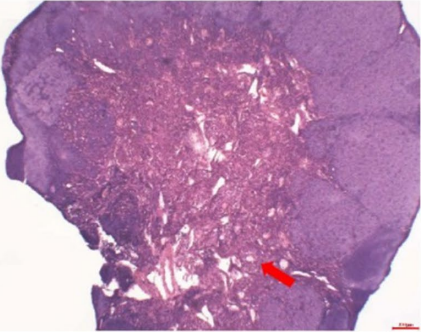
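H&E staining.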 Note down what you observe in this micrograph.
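This is a low-power section through an ovary stained pink and purple. The centre is taken up by a large area of loose, fibrous-looking pink tissue broken by many irregular pale clefts. Only a few rounded purple bodies remain, pushed to the edges of the section. Compared with a well-filled ovary, the cortex holds far fewer round structures, and the middle looks disorganised and loosely textured. A red arrow points into the lower part of the central area. At this magnification individual cells cannot be made out, only the overall tissue pattern.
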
